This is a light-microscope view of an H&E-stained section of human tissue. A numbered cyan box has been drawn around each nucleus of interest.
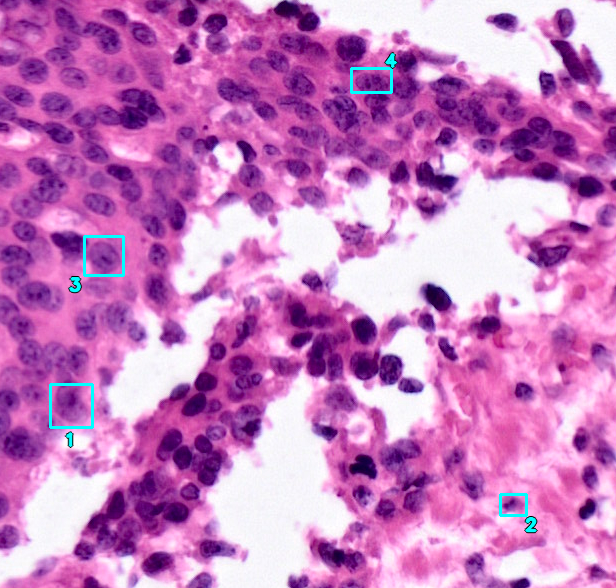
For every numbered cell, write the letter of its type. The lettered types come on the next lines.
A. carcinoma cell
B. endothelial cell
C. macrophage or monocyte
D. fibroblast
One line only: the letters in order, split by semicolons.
A; D; A; A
